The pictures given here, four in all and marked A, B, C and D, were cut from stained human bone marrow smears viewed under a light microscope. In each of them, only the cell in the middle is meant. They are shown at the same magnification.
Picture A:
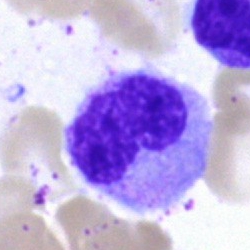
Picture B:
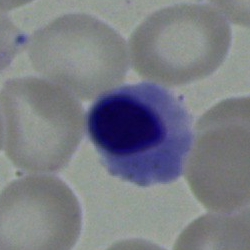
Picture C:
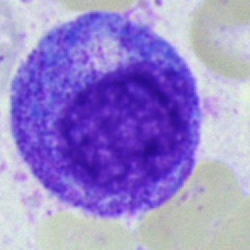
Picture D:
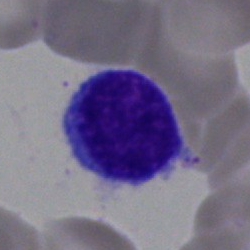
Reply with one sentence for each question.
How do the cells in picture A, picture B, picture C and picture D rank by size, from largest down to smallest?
From the largest down, the order is C, A, D, B.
